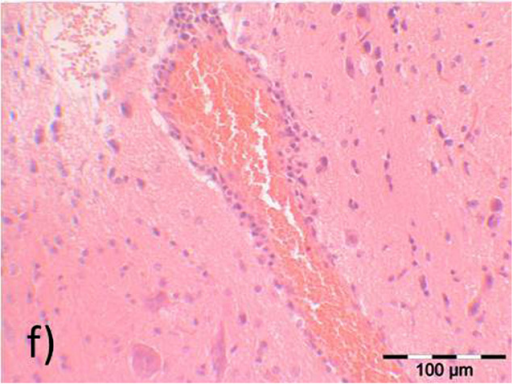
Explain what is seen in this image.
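Pink brain parenchyma is crossed diagonally by a blood vessel whose lumen is packed with red blood cells. Its wall is surrounded by a cuff of many small cells with round, dark purple nuclei, while the surrounding neuropil holds scattered larger neurons and glial nuclei.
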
